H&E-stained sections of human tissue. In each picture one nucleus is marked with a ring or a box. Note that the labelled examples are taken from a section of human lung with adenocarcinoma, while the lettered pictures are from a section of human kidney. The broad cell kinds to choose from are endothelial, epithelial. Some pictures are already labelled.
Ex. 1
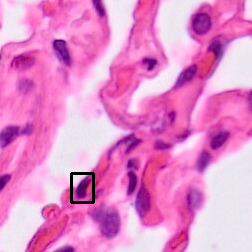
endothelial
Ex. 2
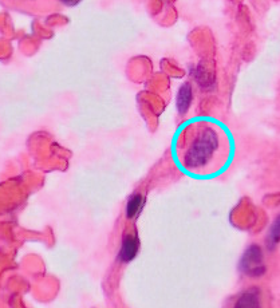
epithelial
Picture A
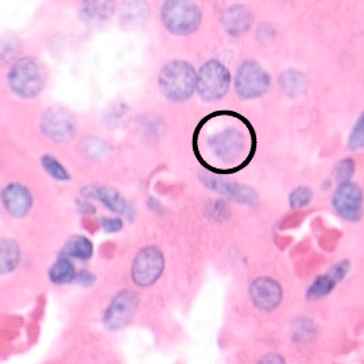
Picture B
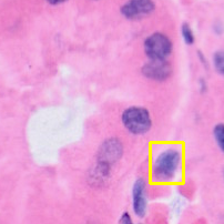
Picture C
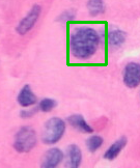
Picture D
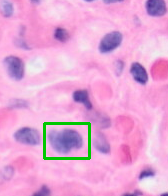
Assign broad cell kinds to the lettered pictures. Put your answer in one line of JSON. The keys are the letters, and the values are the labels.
{"A": "epithelial", "B": "endothelial", "C": "epithelial", "D": "endothelial"}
